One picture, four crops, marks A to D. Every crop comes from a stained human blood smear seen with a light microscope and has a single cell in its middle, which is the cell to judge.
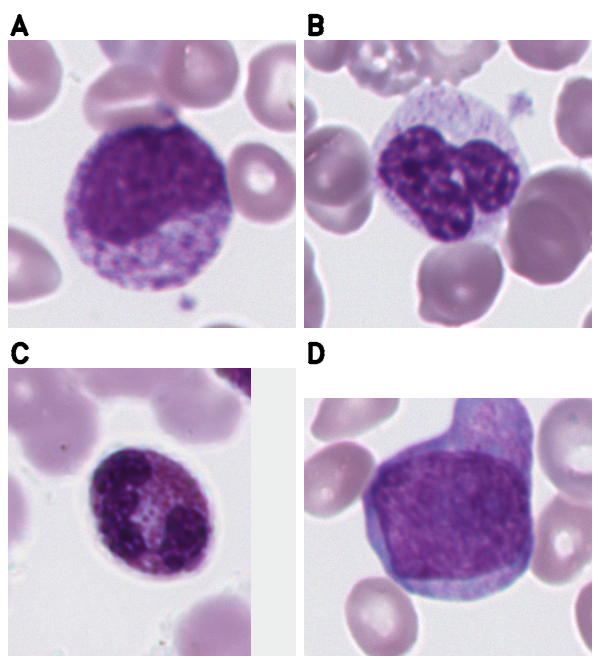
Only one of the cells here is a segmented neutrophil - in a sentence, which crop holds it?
Crop B is where a segmented neutrophil is shown.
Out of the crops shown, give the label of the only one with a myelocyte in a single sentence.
The cell at the center of crop A is the one that is a myelocyte.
